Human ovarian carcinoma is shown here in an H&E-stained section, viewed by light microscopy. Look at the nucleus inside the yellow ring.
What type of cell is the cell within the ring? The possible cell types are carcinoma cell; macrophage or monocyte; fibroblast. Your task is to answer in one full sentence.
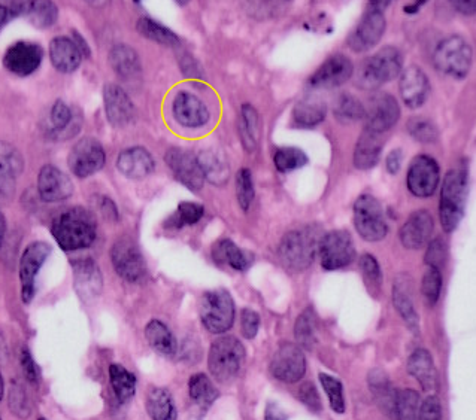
What the cell within the ring represents is a macrophage or monocyte.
